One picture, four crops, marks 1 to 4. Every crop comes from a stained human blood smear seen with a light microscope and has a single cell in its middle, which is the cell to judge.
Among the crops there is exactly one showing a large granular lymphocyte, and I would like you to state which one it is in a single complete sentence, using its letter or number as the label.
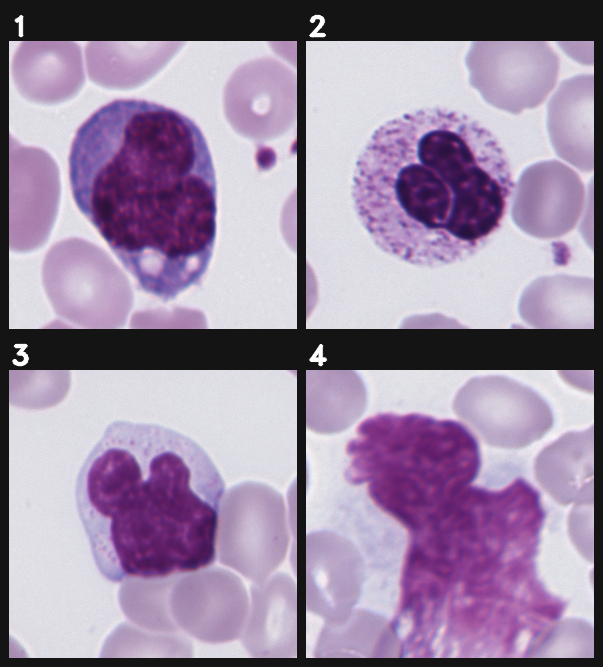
Crop 3 is the one in the set with a large granular lymphocyte at the center.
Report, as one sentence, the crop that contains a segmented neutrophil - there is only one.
It is crop 2, not any other, that shows a segmented neutrophil.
